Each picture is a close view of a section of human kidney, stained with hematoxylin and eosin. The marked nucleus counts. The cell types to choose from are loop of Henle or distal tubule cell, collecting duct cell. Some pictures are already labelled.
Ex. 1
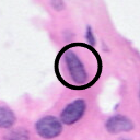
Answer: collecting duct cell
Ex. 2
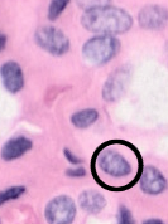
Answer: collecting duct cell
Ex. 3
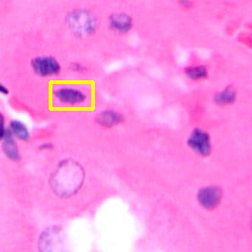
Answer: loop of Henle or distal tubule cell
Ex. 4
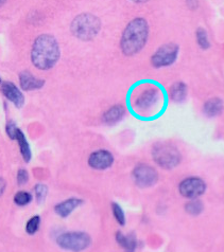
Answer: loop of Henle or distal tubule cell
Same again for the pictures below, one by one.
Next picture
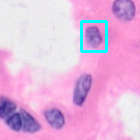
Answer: loop of Henle or distal tubule cell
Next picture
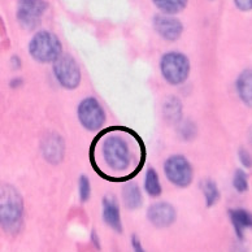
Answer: collecting duct cell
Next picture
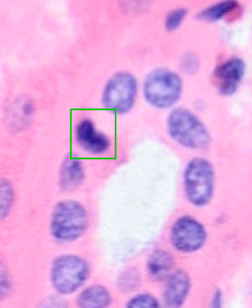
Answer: collecting duct cell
